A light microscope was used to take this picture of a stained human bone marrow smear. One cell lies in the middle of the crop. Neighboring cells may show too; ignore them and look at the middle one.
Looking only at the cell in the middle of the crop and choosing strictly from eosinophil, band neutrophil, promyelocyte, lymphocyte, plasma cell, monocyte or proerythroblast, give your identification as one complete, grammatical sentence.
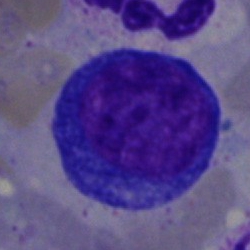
The centrally positioned cell in the crop represents a proerythroblast.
